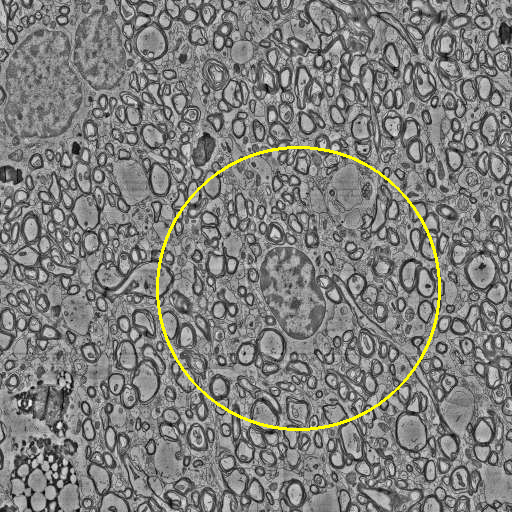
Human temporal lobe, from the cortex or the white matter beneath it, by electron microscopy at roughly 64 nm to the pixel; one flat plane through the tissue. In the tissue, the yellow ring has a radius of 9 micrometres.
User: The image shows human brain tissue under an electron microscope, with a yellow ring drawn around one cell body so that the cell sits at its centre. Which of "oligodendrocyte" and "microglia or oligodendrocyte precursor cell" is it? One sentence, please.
At the centre of the ring sits a microglial cell or oligodendrocyte precursor cell.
